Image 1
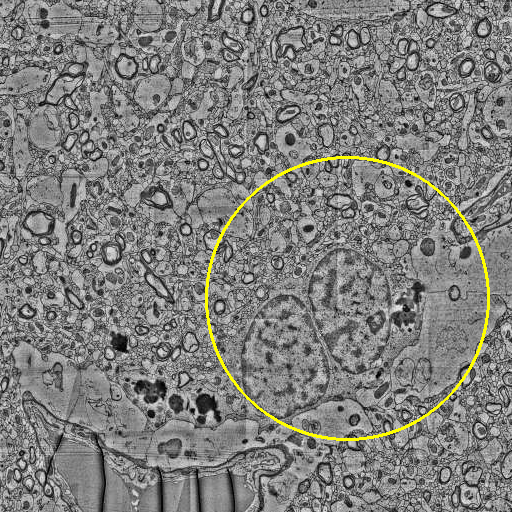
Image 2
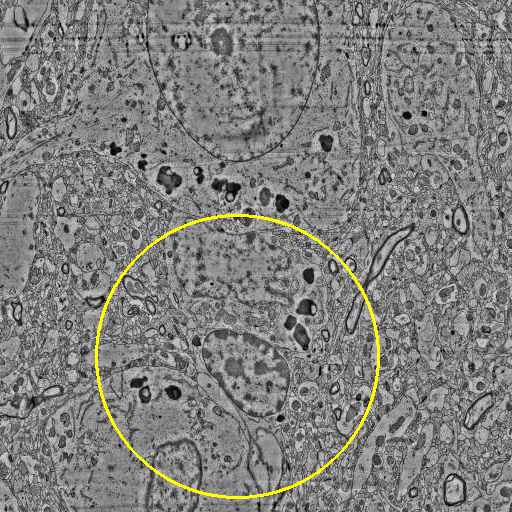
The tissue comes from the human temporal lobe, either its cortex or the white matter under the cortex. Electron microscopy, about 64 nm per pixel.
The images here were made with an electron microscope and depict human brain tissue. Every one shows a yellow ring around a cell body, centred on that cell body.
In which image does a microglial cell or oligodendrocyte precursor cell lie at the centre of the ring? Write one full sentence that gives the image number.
My answer is image 2, where the asked-for cell sits at the centre of the ring.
